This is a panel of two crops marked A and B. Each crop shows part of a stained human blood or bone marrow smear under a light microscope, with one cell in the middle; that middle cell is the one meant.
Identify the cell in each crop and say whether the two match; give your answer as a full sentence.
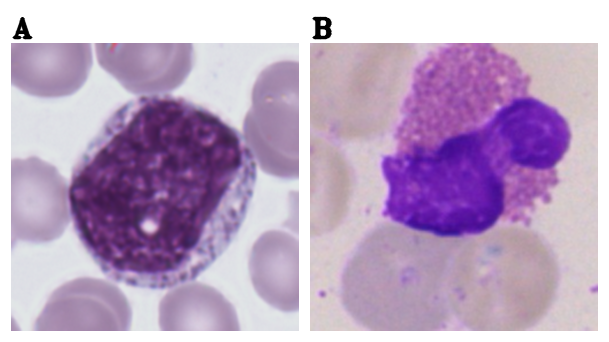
No, in crop B the central cell is an eosinophil, and in crop A it is a myelocyte.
